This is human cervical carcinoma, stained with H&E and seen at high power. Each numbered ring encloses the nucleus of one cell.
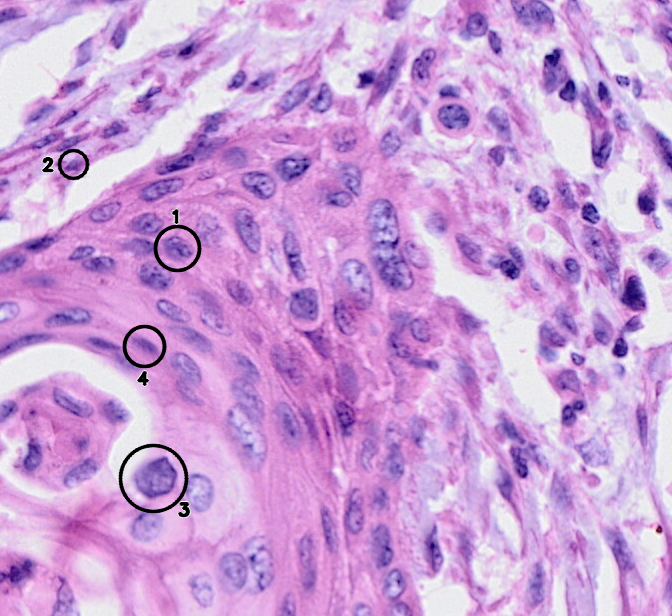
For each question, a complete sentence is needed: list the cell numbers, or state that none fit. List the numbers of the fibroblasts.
Of all the numbered cells, only cell 2 is a fibroblast.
